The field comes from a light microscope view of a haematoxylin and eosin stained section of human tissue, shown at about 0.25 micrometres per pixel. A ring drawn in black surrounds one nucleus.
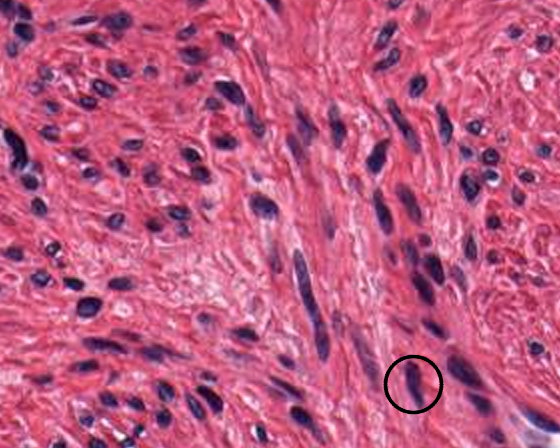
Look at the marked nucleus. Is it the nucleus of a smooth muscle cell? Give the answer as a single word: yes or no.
yes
